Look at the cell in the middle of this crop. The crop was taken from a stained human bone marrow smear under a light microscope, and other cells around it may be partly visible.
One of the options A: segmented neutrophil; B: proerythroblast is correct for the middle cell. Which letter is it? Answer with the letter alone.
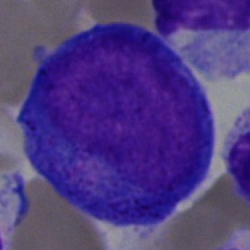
B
